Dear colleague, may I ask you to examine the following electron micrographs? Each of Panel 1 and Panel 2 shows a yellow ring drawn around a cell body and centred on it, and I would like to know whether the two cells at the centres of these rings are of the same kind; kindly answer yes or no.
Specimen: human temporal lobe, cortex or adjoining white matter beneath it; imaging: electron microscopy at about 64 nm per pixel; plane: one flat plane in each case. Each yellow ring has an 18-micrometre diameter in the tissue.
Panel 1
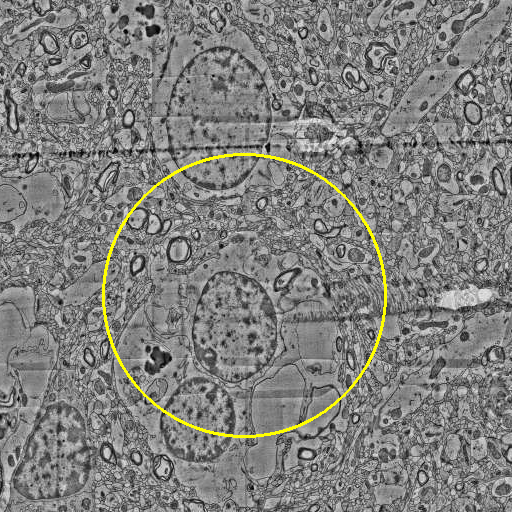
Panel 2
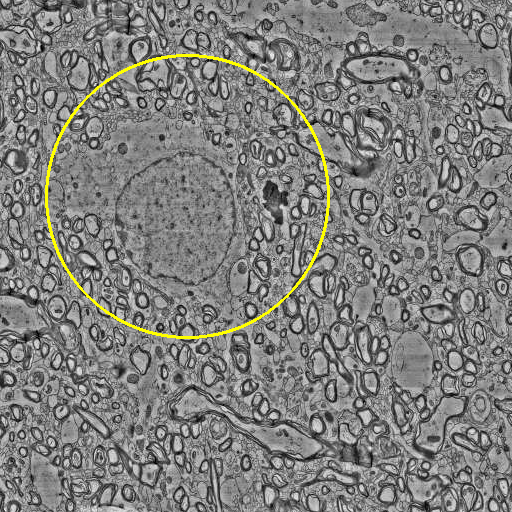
yes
